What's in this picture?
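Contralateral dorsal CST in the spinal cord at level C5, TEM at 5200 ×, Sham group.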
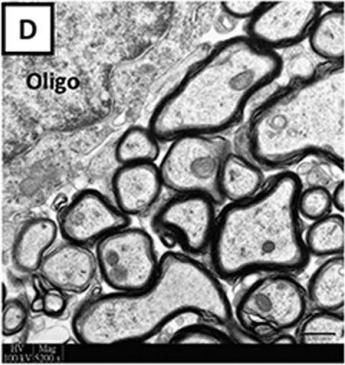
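The axons are large, rounded or polygonal profiles with pale, finely granular axoplasm containing a few small organelles. The axons are closely packed with little space between them. At the upper left lies part of a cell body with a pale, finely granular nucleus.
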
